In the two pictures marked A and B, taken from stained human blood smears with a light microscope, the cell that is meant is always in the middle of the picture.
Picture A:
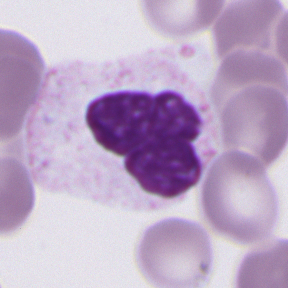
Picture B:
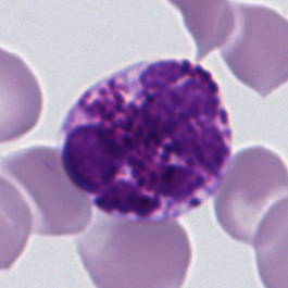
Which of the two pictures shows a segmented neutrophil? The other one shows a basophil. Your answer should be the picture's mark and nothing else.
A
